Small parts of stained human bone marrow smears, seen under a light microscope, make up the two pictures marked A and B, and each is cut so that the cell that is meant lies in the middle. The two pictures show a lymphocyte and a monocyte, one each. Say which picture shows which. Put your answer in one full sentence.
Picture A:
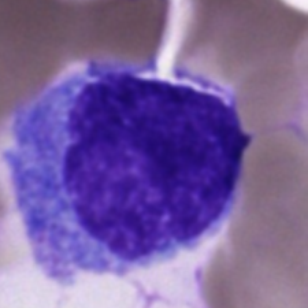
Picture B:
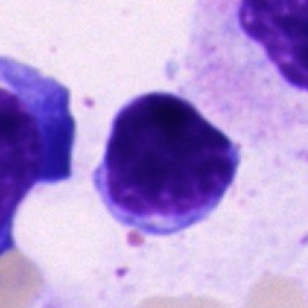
Picture A is of a monocyte, and picture B is of a lymphocyte.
